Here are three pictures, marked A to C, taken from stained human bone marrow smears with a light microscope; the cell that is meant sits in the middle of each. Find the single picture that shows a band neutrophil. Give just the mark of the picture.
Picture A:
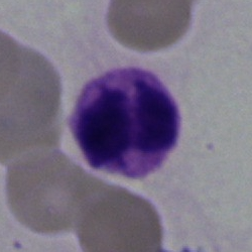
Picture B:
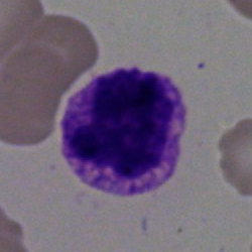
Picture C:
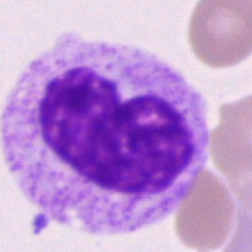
C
